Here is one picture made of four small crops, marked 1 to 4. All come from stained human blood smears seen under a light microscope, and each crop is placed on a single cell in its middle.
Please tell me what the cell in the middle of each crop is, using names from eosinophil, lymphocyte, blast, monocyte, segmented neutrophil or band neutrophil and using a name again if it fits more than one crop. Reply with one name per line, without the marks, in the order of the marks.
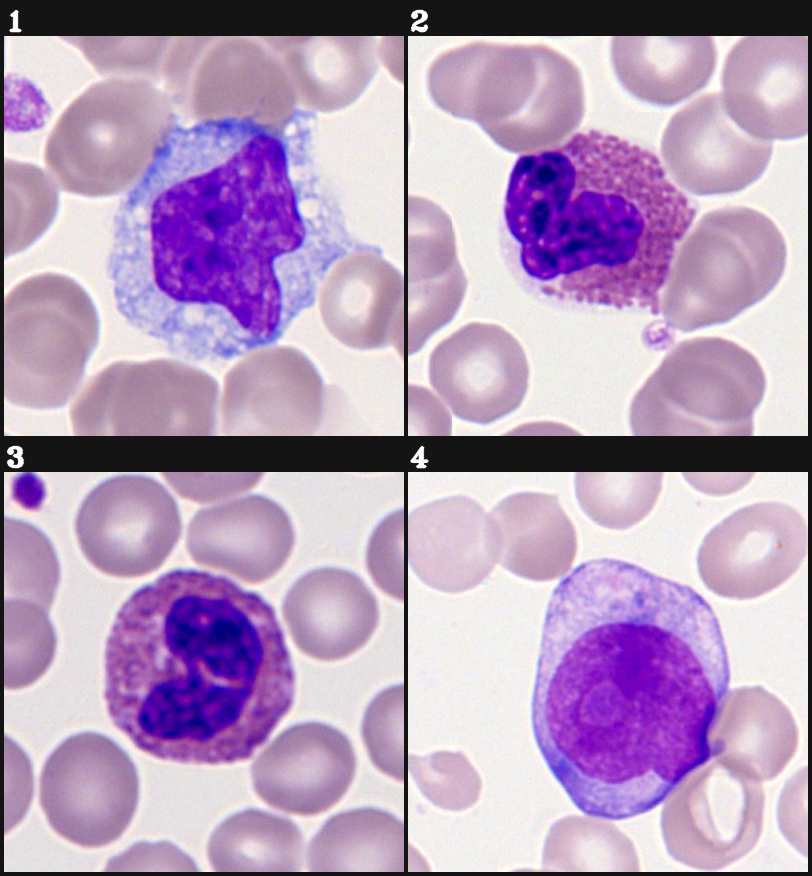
monocyte
eosinophil
eosinophil
blast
